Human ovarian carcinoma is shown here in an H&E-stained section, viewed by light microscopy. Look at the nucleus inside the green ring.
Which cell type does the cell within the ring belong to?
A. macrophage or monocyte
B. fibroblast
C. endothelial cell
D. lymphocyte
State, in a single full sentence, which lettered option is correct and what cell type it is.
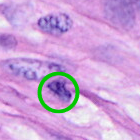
Option A properly identifies the cell within the ring as a macrophage or monocyte.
